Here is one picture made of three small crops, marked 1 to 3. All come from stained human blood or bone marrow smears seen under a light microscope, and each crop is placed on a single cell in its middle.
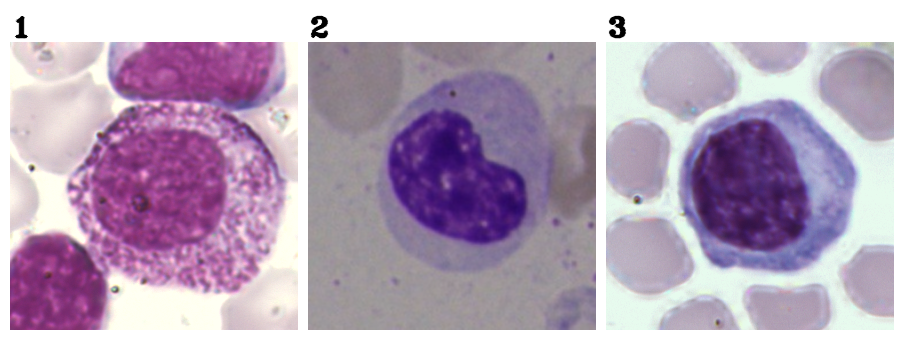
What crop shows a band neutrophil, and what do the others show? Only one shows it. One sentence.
There is a band neutrophil in crop 2, while crop 1 is a myelocyte and crop 3 is a plasma cell.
